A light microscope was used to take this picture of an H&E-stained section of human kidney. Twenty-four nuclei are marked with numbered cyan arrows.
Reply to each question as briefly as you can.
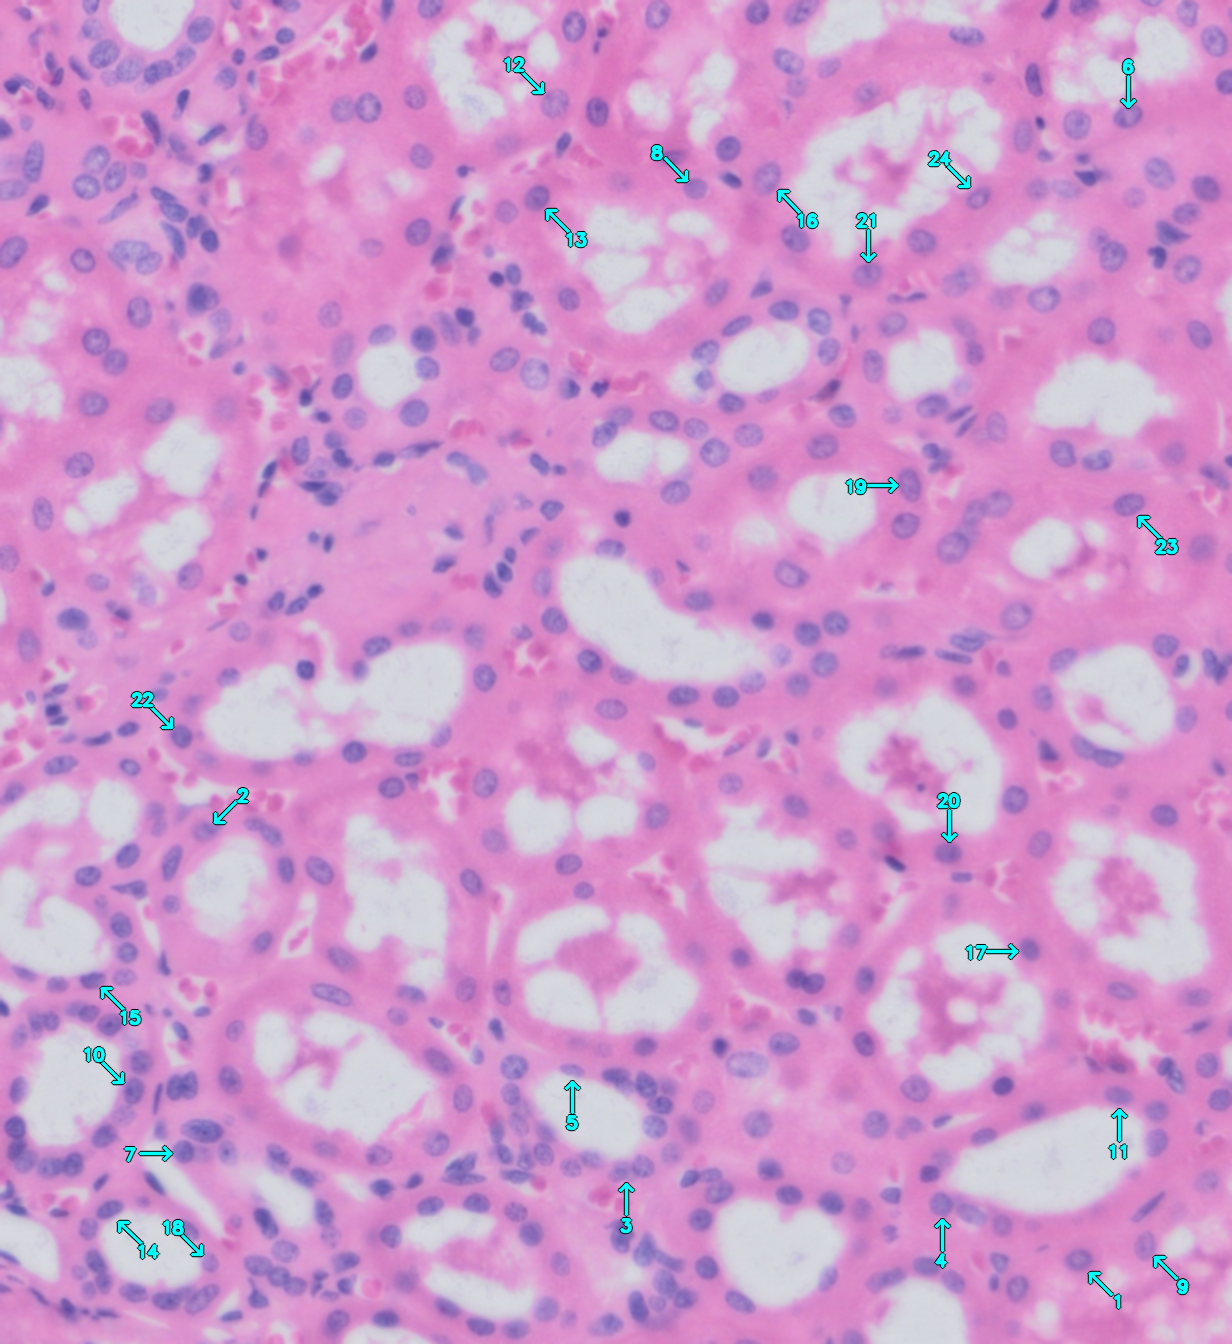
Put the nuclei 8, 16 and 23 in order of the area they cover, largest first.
16, 23, 8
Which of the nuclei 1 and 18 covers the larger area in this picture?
1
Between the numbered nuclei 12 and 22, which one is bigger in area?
12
